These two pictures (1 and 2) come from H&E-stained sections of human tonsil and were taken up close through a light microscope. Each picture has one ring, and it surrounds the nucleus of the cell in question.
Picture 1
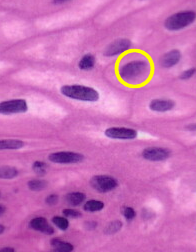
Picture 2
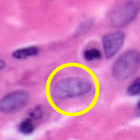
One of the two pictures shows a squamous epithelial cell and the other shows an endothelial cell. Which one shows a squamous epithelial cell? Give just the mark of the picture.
1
